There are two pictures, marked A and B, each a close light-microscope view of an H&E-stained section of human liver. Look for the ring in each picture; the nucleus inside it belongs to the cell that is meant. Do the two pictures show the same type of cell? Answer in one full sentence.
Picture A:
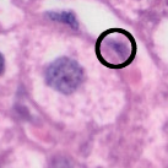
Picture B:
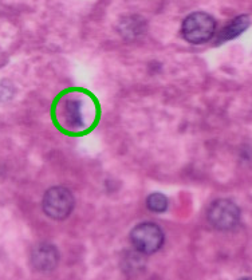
No, they differ: the cell is a Kupffer cell in picture A and an endothelial cell in picture B.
